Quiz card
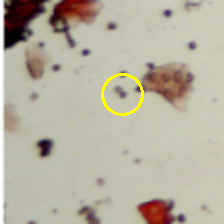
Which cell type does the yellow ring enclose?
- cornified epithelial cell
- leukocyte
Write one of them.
leukocyte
